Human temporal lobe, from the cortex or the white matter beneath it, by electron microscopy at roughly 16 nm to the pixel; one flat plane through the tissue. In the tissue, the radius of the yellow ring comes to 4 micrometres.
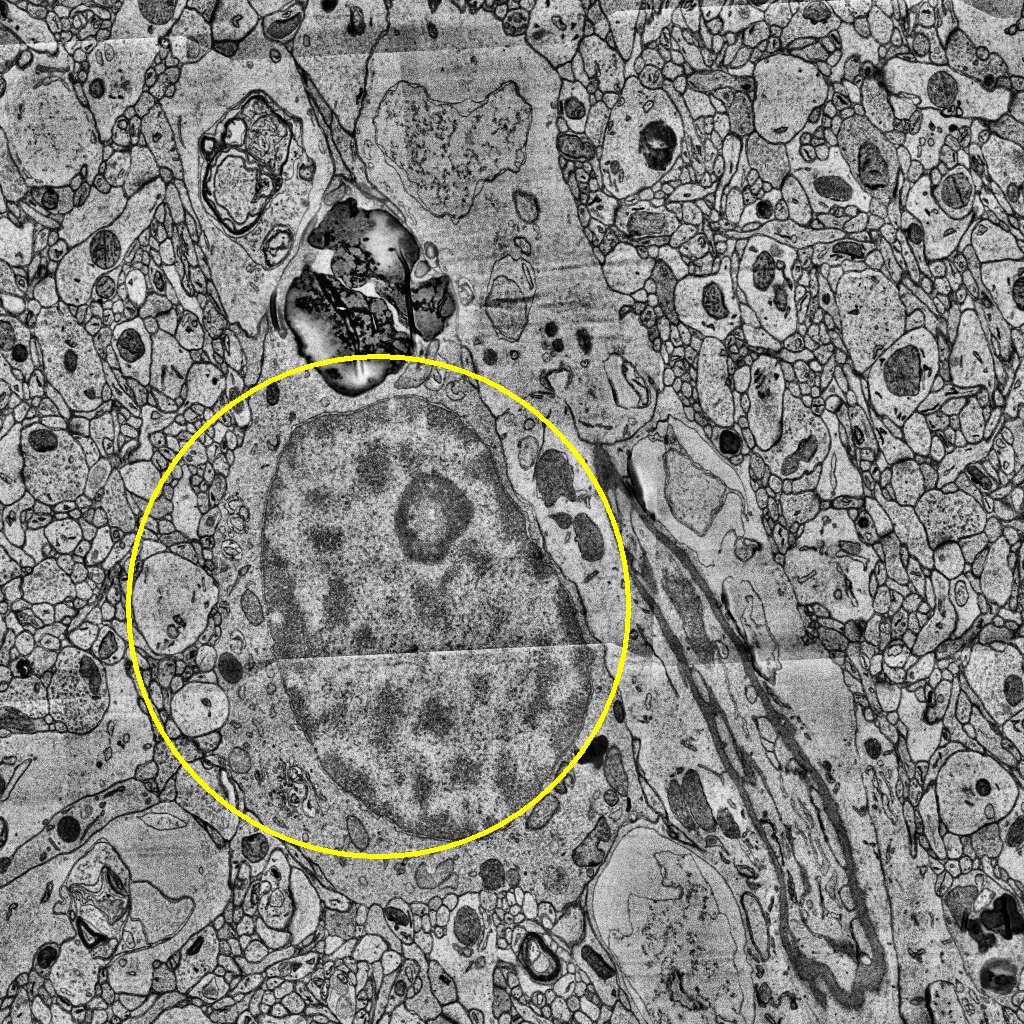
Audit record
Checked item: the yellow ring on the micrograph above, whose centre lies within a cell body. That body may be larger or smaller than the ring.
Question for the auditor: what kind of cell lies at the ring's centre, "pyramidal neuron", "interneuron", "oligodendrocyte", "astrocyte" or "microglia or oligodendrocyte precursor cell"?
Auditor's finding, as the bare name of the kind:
oligodendrocyte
